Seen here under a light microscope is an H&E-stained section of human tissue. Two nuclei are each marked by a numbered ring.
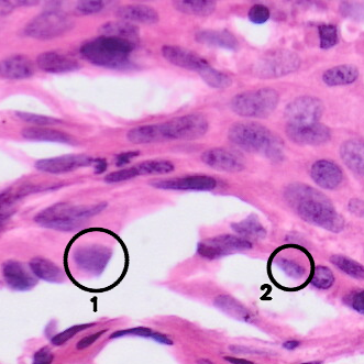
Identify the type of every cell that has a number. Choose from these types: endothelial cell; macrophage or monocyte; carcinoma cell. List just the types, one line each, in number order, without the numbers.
carcinoma cell
macrophage or monocyte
